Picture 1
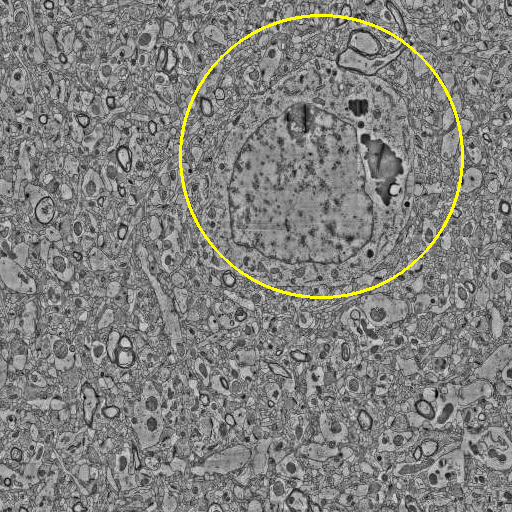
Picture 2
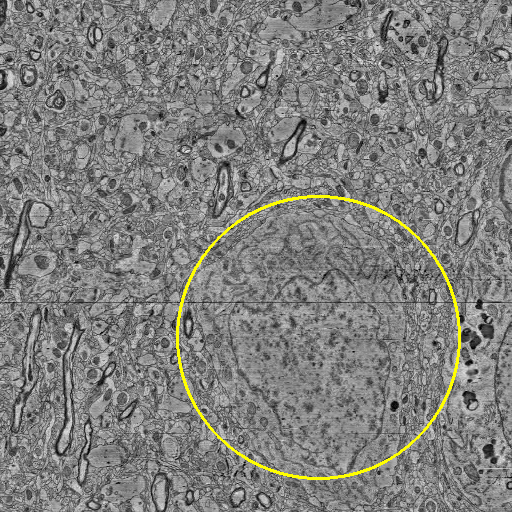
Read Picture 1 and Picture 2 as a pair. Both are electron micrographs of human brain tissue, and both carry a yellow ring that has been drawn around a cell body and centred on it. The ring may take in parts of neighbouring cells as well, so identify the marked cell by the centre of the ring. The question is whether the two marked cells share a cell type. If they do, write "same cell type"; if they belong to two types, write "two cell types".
same cell type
